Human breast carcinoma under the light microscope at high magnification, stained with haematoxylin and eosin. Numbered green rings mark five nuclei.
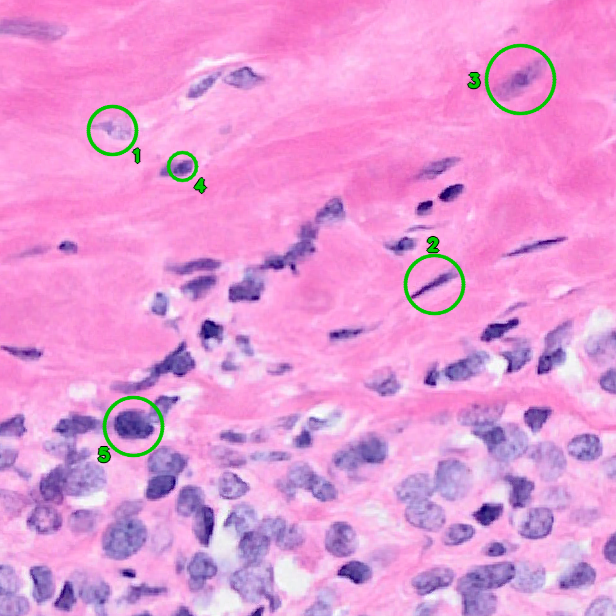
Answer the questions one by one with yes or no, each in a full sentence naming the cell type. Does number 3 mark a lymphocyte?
No, what is marked as number 3 is a fibroblast rather than a lymphocyte.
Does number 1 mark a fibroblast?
Yes, the cell carrying number 1 is a fibroblast.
